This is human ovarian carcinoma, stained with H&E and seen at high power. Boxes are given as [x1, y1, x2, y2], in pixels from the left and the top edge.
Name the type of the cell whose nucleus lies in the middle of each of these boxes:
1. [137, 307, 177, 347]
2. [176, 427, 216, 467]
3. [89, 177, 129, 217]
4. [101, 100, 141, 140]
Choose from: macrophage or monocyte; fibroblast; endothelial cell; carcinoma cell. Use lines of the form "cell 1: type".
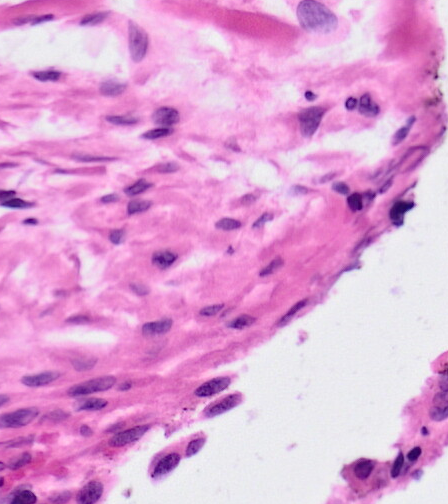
cell 1: fibroblast
cell 2: carcinoma cell
cell 3: fibroblast
cell 4: fibroblast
